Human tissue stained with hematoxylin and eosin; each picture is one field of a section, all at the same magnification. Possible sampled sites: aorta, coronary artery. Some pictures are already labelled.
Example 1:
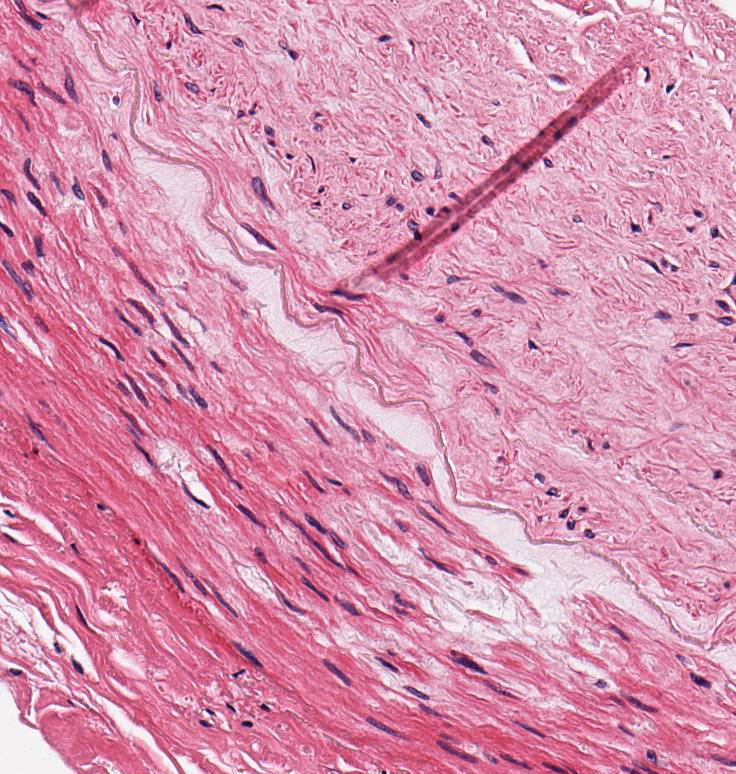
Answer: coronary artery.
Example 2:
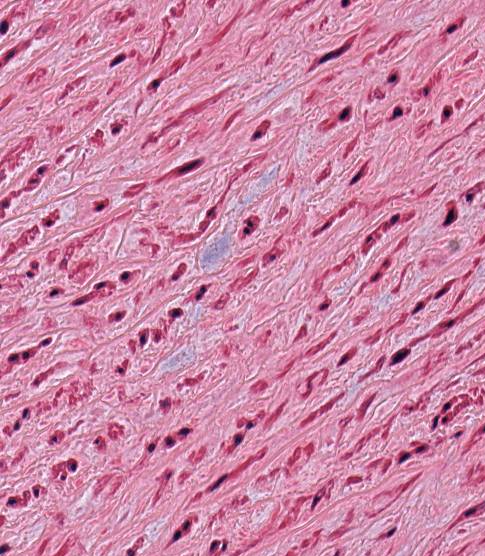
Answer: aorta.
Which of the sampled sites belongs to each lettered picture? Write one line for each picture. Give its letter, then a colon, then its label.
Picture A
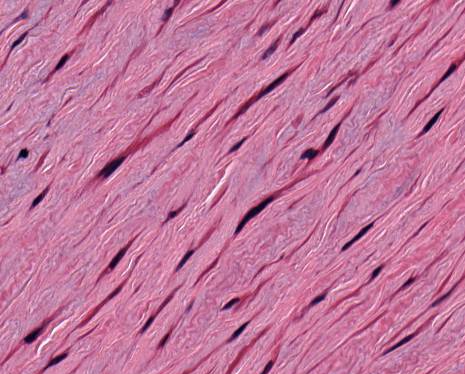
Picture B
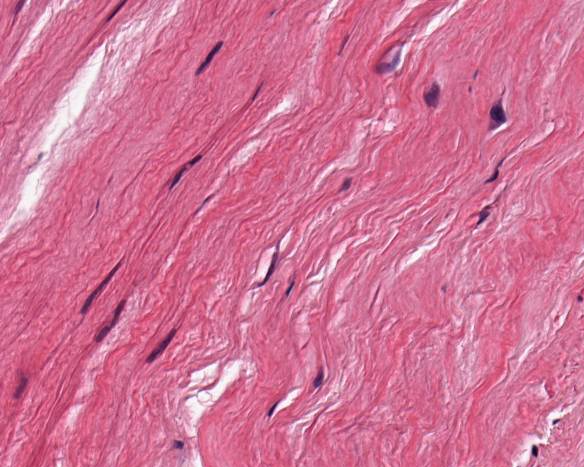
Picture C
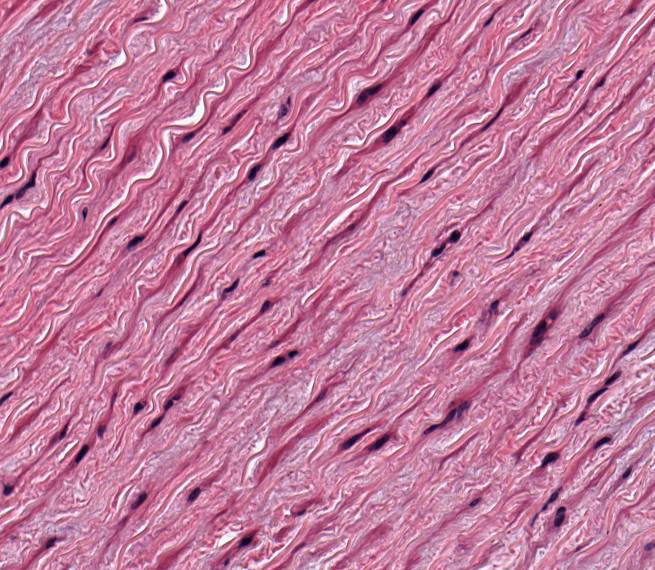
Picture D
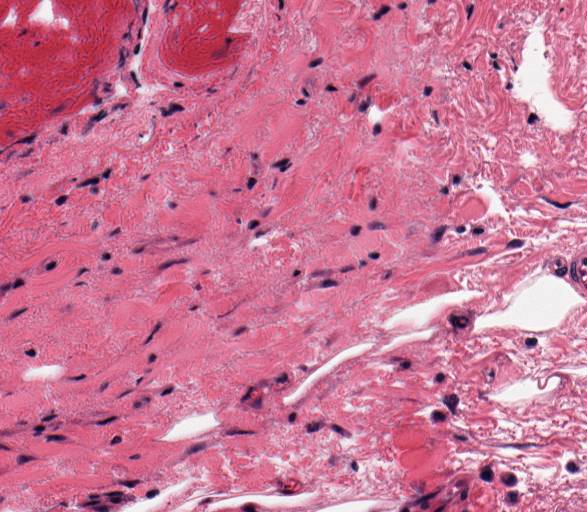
A: aorta.
B: aorta.
C: aorta.
D: coronary artery.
